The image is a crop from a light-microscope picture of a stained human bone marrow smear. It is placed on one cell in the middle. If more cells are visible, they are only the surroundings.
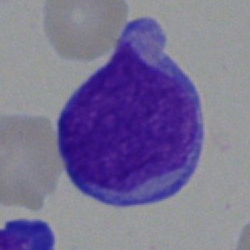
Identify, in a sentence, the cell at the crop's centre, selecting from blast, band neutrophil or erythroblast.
The centered cell in this crop is a blast.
